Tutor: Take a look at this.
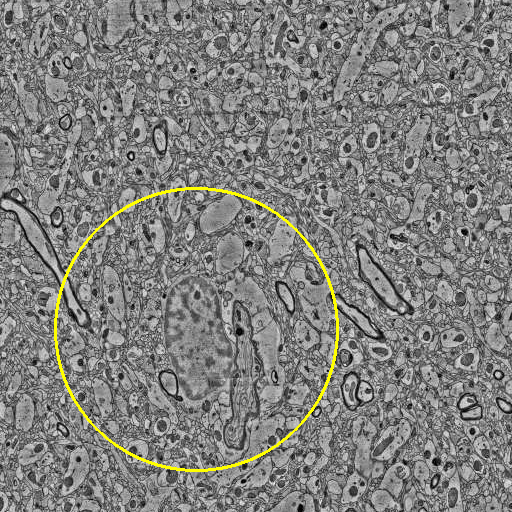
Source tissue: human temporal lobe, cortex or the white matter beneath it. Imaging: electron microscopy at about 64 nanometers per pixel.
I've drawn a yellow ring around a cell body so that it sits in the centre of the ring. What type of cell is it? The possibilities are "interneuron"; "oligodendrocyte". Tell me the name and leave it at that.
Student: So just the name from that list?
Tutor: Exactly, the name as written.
oligodendrocyte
